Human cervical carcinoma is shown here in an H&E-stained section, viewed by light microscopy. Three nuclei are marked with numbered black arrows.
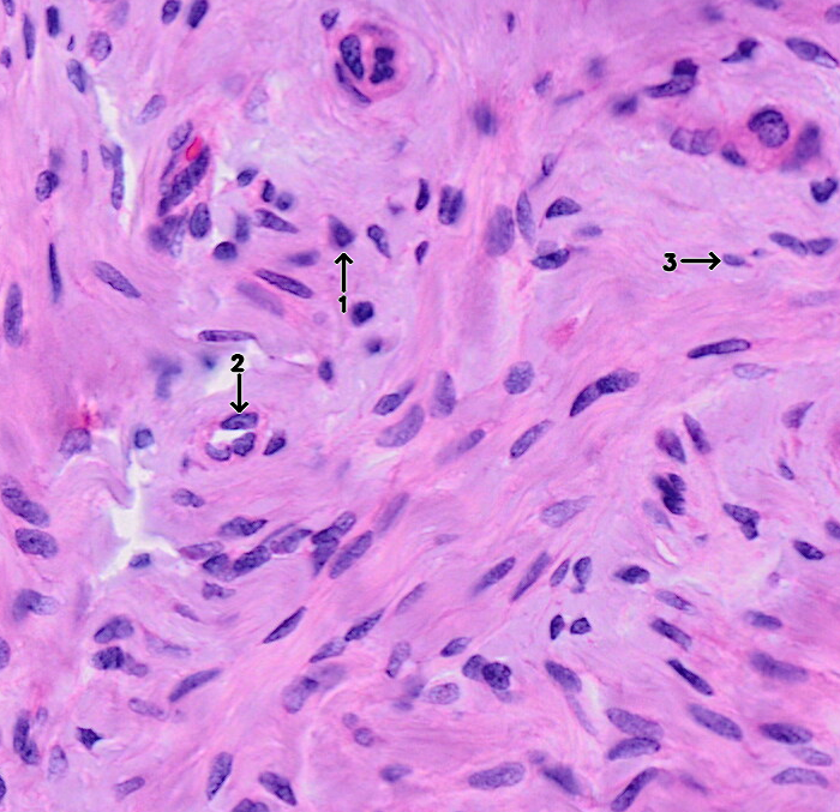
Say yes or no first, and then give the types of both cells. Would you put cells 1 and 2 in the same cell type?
No, cell 1 here is a fibroblast, and cell 2 here is an endothelial cell.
